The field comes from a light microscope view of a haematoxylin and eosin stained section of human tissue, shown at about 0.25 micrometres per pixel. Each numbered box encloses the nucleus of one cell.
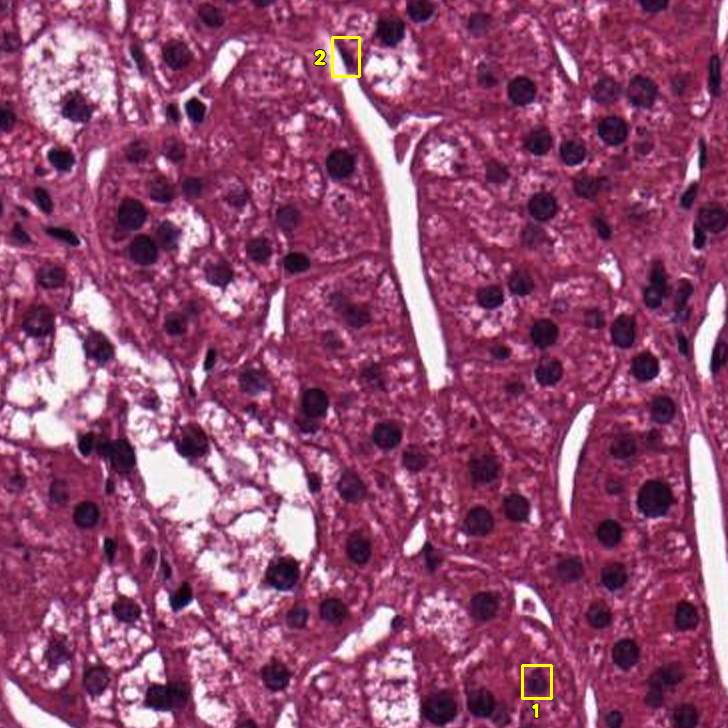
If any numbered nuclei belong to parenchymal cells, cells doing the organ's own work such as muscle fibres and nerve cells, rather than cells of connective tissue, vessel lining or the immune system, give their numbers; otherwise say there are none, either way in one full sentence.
Of the cells whose nuclei are marked, only the cell of nucleus 1 is parenchymal.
